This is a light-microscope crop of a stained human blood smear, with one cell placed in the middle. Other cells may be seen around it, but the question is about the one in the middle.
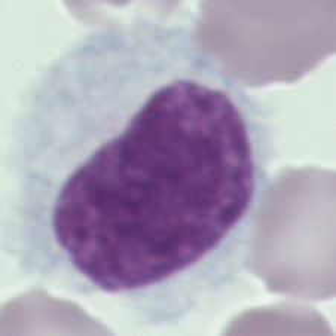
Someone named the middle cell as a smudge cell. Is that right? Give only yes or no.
no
